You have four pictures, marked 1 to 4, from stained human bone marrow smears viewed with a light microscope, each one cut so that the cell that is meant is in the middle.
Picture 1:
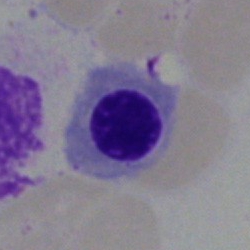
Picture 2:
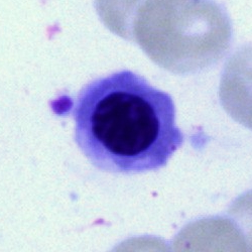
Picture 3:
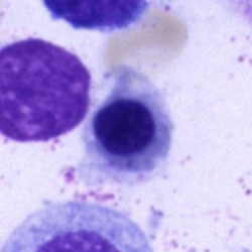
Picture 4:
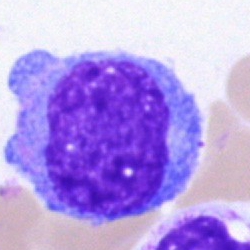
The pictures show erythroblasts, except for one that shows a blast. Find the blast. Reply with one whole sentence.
The blast is the one in picture 4.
